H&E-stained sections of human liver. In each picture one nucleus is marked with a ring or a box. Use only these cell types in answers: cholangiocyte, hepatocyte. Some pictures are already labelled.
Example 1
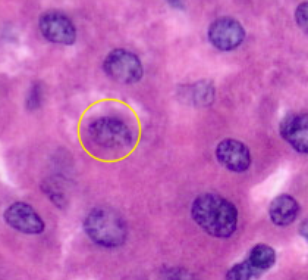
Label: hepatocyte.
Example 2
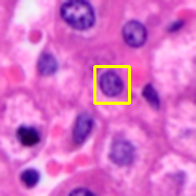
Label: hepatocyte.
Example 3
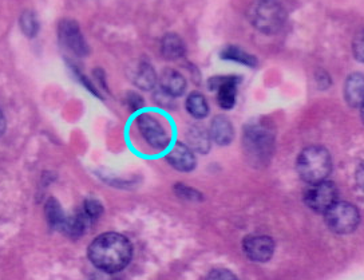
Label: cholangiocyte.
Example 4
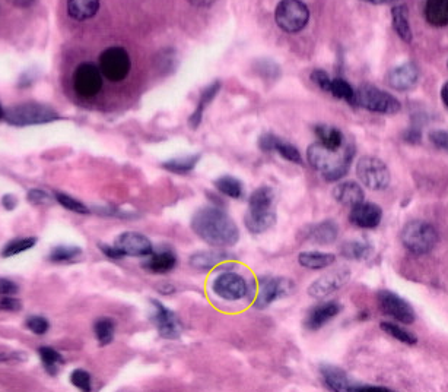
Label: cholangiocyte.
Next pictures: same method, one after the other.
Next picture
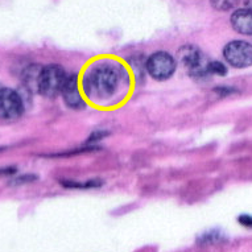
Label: cholangiocyte.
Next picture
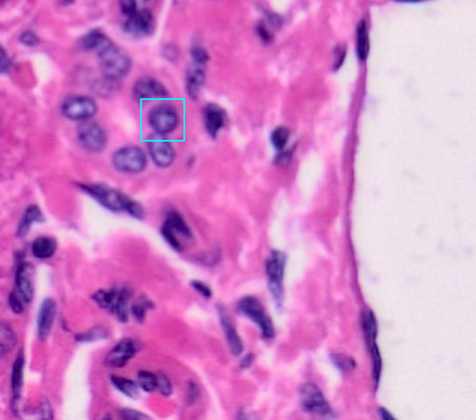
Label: cholangiocyte.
